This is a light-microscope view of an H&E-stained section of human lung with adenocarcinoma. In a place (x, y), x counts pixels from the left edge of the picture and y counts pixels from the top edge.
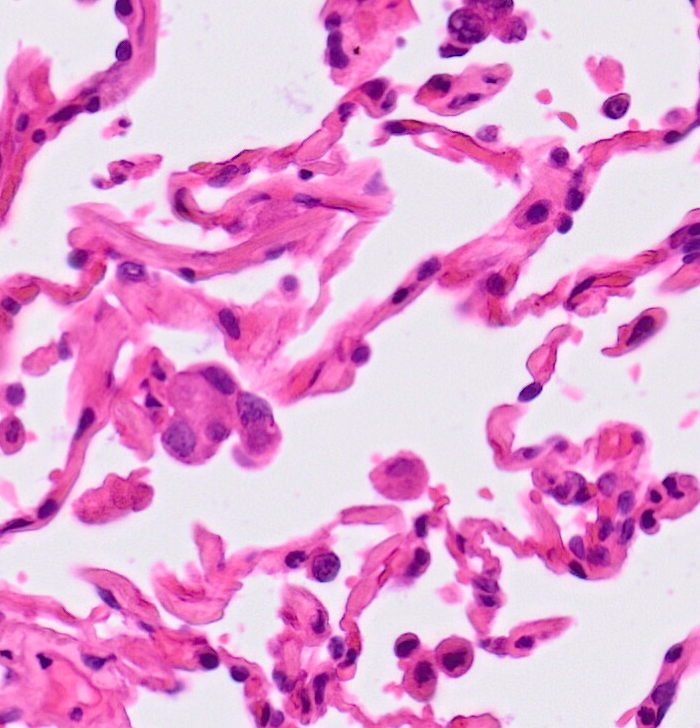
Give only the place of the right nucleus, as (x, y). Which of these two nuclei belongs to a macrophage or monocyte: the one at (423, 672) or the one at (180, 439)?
(423, 672)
